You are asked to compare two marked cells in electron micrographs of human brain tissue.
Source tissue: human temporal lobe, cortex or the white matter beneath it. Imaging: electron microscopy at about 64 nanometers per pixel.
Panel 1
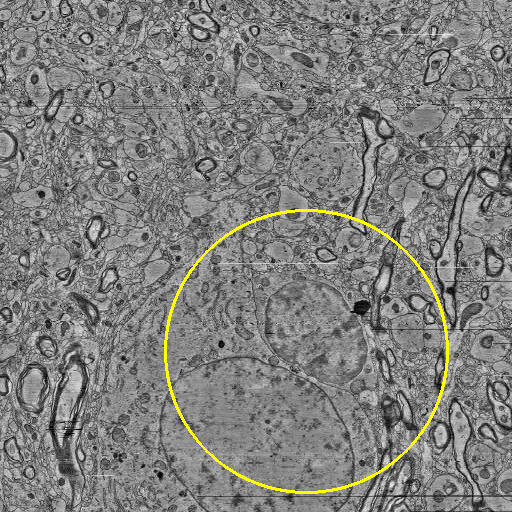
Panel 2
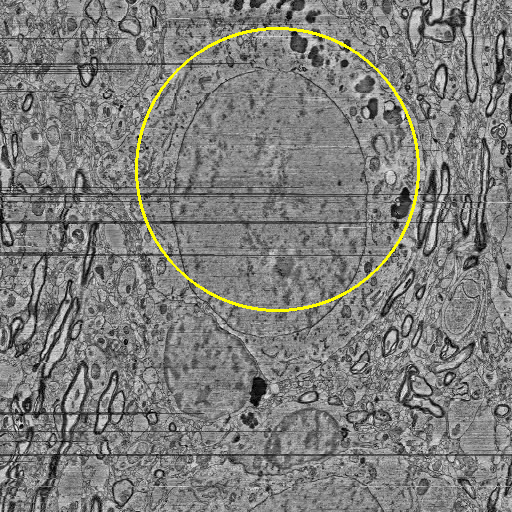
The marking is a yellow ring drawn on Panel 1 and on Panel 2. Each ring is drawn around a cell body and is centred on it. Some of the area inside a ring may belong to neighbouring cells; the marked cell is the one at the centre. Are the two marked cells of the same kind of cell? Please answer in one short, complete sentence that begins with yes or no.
No, the two marked cells are of two kinds.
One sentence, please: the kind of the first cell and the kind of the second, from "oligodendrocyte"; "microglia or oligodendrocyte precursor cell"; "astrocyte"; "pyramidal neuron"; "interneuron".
The ring in the first picture surrounds an oligodendrocyte, and the ring in the second surrounds a pyramidal neuron.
